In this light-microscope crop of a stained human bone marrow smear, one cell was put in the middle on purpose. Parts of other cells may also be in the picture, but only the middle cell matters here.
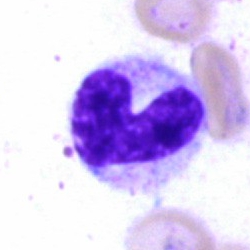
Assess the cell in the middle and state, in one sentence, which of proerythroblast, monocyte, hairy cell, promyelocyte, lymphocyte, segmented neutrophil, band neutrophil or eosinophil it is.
For this crop, the central cell is a band neutrophil.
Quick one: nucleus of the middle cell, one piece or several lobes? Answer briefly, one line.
What stands out is a nucleus forming one compact round, oval or kidney-shaped mass.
